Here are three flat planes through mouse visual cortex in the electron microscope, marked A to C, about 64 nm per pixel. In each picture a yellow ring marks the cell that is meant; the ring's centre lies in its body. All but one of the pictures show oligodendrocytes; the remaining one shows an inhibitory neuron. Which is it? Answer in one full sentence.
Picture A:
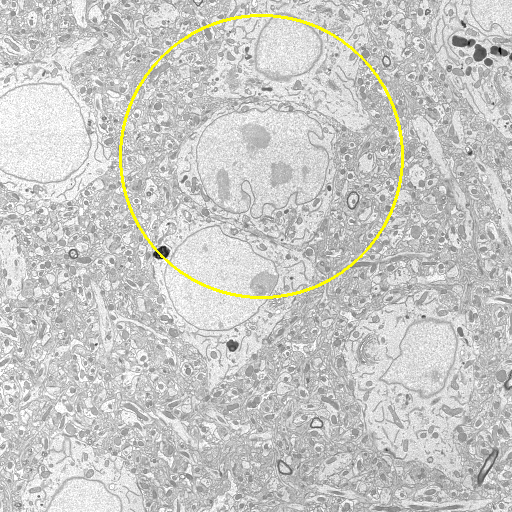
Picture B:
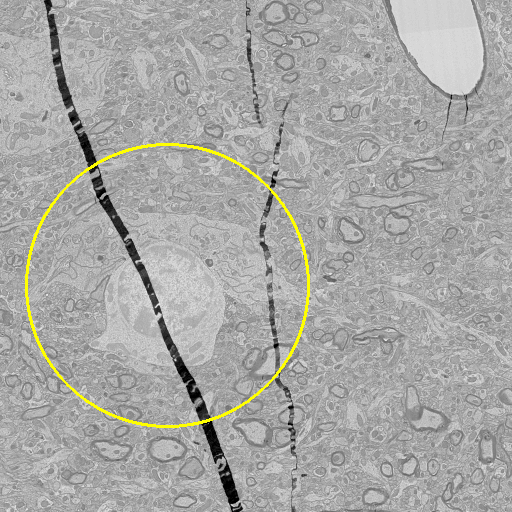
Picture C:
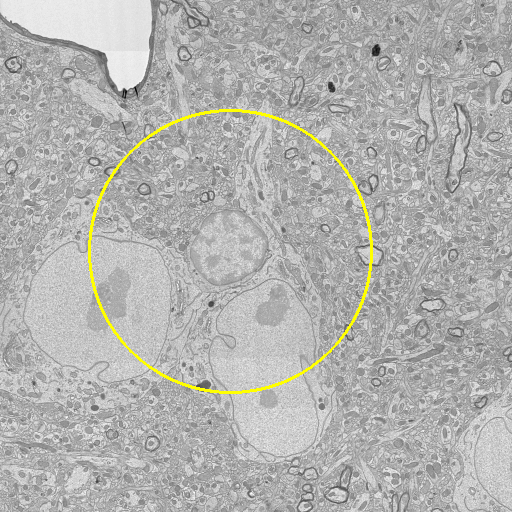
It is picture A that shows the inhibitory neuron.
